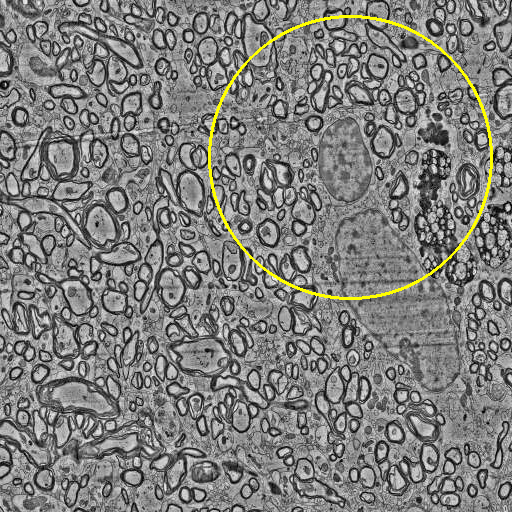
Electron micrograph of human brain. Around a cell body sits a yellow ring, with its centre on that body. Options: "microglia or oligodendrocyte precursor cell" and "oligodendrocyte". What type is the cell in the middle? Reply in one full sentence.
The cell sitting at the centre of the yellow ring is a microglial cell or oligodendrocyte precursor cell.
